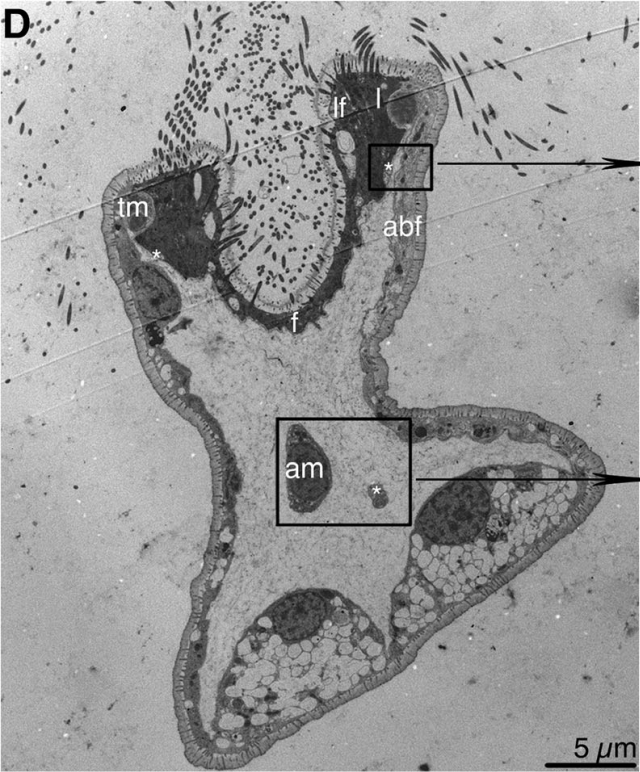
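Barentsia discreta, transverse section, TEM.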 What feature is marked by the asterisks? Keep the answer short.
Nerve elements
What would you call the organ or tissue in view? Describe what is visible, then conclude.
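Tentacle. A slender appendage cut across, bounded by a thin epithelium covered by a cuticle. Many cross-sectioned cilia fan out from the densely staining cells on one face.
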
